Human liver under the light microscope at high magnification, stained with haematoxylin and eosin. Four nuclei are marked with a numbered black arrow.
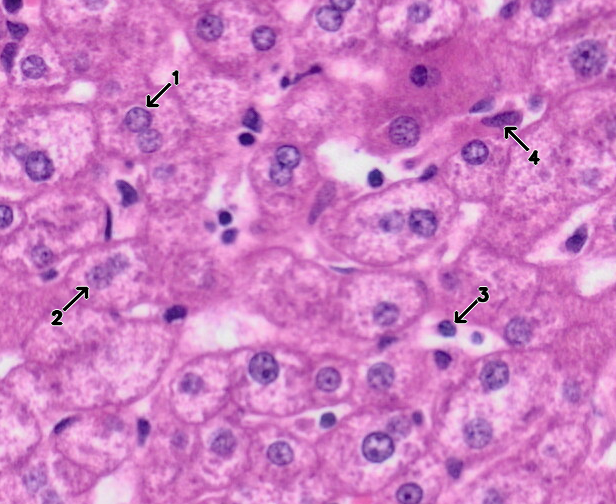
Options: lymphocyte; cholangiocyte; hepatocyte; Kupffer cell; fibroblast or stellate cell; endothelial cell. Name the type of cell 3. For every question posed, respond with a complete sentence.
In the marked set, the cell given number 3 is a lymphocyte.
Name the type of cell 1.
The nucleus labeled 1 belongs to a hepatocyte.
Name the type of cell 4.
The cell indicated with the number 4 is classed as a Kupffer cell.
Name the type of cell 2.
The cell numbered 2 has been identified as a hepatocyte.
